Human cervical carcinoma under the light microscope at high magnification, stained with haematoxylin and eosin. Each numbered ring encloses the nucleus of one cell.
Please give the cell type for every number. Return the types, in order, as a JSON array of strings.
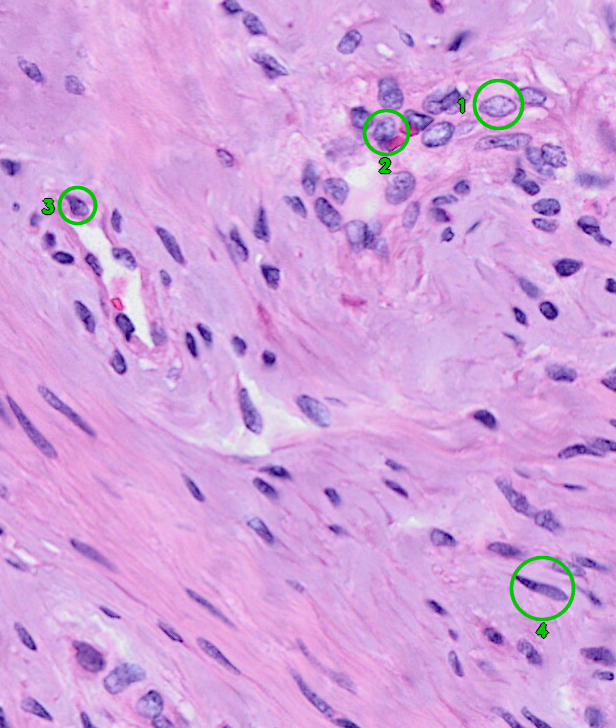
["endothelial cell", "endothelial cell", "endothelial cell", "fibroblast"]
